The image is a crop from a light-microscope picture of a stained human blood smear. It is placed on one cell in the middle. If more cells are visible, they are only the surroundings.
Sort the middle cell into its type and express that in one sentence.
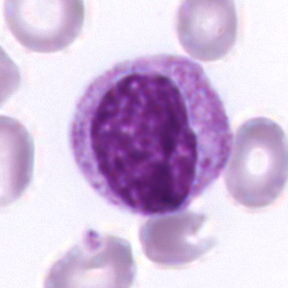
The central cell shown in this smear crop is a myelocyte.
